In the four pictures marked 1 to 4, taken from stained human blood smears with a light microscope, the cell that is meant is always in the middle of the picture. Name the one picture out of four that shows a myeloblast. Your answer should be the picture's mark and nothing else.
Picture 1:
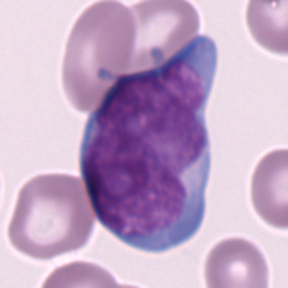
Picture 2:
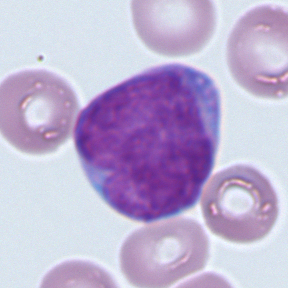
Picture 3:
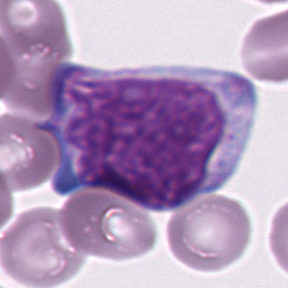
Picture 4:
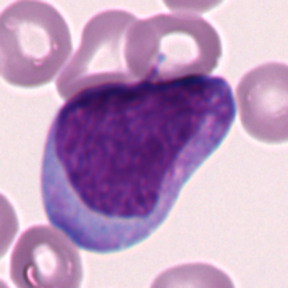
1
